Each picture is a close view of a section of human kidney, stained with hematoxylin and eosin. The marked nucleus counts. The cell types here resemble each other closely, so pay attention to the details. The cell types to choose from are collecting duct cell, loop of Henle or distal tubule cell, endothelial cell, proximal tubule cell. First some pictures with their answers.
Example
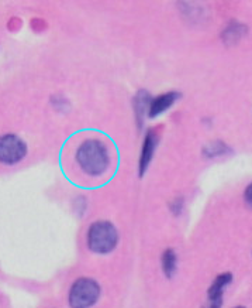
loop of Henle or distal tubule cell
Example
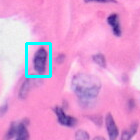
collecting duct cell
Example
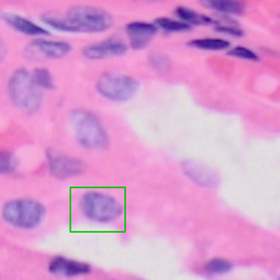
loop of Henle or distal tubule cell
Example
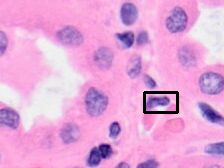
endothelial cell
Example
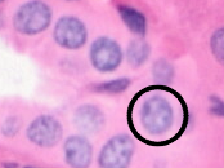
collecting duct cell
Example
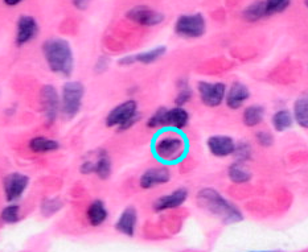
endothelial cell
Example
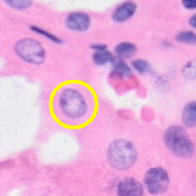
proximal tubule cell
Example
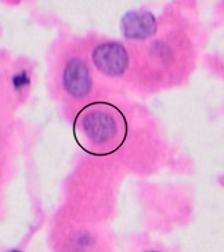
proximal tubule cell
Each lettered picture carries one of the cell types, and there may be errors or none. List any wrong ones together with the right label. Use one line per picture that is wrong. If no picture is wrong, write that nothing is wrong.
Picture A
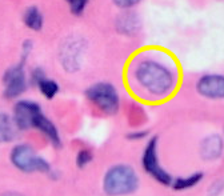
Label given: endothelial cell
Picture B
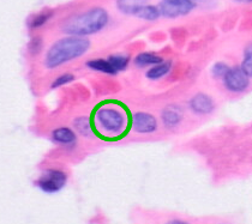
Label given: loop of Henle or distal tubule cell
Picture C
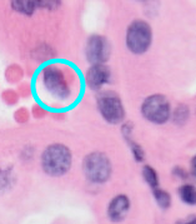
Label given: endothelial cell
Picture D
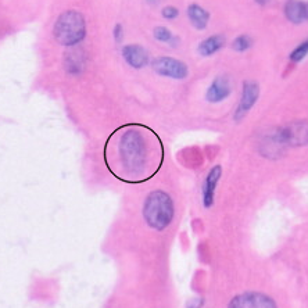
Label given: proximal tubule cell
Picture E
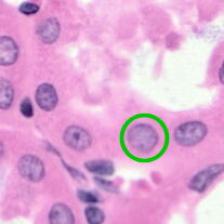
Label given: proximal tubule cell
A: not endothelial cell but loop of Henle or distal tubule cell
B: not loop of Henle or distal tubule cell but collecting duct cell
